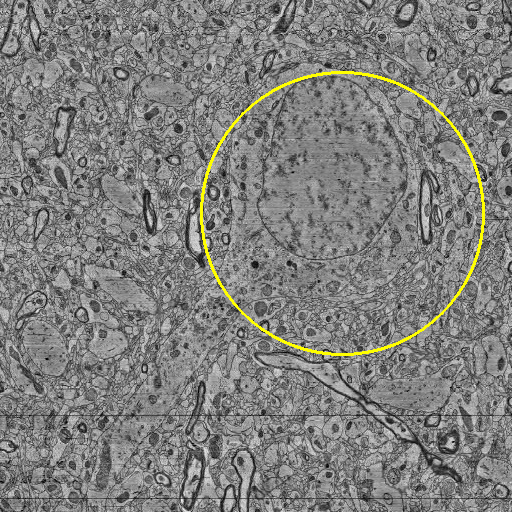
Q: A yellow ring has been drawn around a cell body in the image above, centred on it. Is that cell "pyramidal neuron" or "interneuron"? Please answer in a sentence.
The ring surrounds the cell body of a pyramidal neuron.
